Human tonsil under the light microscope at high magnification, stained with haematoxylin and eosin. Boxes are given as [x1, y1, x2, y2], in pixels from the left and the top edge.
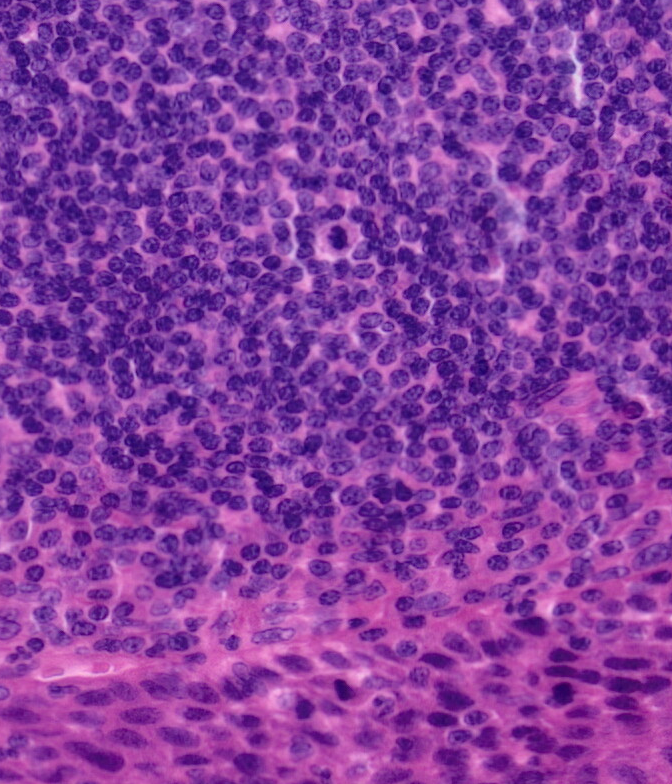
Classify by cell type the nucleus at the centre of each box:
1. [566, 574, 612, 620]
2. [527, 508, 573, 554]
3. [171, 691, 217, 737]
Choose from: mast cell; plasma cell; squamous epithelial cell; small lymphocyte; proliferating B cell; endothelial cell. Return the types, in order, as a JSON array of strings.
["plasma cell", "plasma cell", "squamous epithelial cell"]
